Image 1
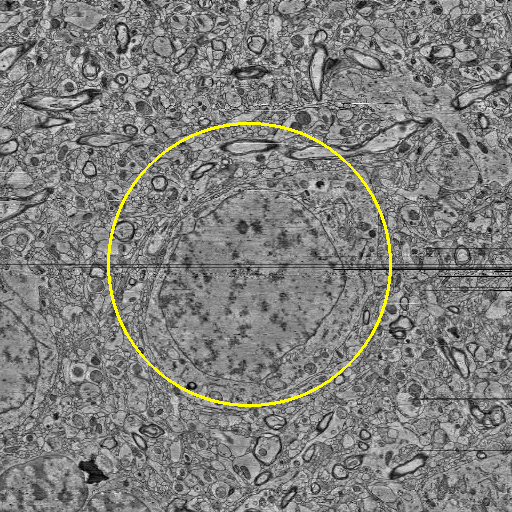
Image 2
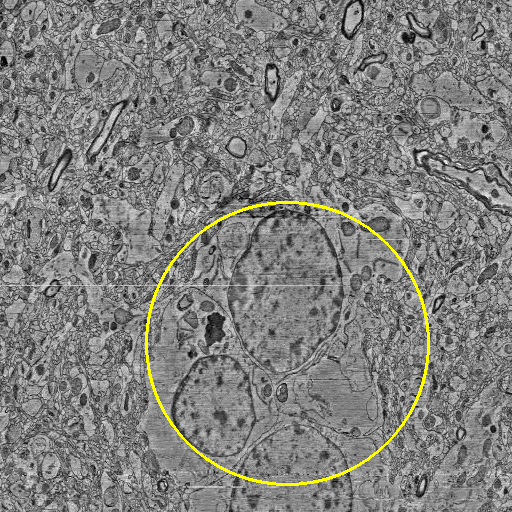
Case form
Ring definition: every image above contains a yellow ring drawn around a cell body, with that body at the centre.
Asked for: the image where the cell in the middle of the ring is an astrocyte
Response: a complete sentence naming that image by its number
Image 2 is the one.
